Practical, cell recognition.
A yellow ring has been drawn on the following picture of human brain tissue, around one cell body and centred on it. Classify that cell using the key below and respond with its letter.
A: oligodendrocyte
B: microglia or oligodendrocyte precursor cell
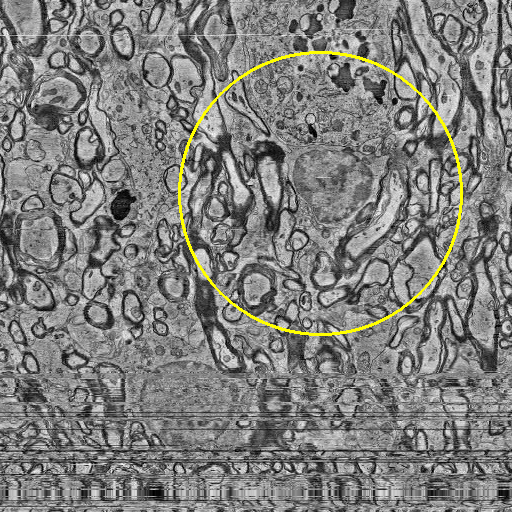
A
